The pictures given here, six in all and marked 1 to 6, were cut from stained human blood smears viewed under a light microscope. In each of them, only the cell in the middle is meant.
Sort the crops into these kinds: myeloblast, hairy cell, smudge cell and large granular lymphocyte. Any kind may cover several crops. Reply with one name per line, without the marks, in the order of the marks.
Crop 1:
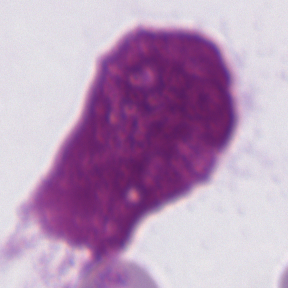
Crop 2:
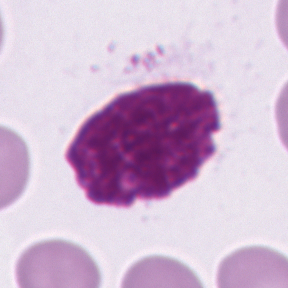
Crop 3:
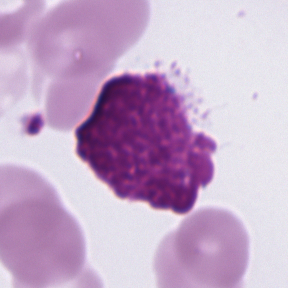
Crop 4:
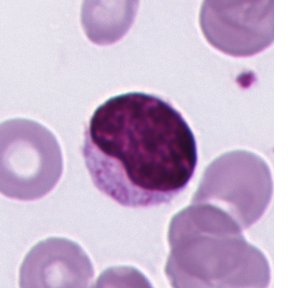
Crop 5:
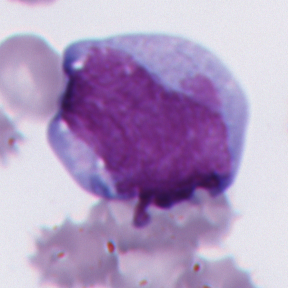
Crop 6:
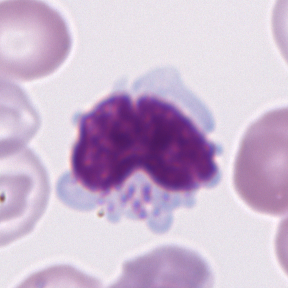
smudge cell
smudge cell
smudge cell
large granular lymphocyte
myeloblast
large granular lymphocyte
